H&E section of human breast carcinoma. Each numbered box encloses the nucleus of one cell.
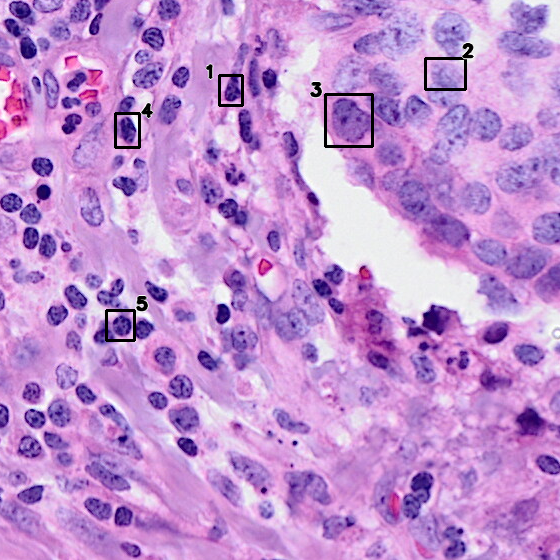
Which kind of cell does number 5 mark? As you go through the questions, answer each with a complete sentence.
The cell to which the number 5 is assigned is a lymphocyte.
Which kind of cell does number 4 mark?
The cell referred to as 4 is a lymphocyte.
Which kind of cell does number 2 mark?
The numeral 2 marks a carcinoma cell in this section.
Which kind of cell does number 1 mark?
The marked nucleus 1 is that of a lymphocyte.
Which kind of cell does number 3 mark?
The label 3 in this section denotes a carcinoma cell.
